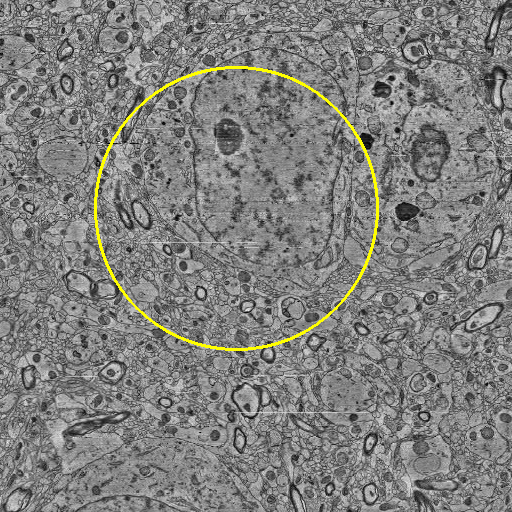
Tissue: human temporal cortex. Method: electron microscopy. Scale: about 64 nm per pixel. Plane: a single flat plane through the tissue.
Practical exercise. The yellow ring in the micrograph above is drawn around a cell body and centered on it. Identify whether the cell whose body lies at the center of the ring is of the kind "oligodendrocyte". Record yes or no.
no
